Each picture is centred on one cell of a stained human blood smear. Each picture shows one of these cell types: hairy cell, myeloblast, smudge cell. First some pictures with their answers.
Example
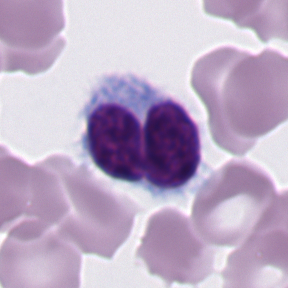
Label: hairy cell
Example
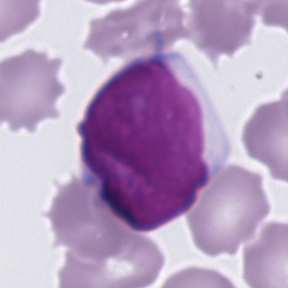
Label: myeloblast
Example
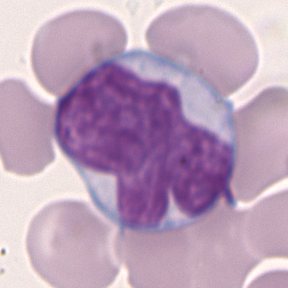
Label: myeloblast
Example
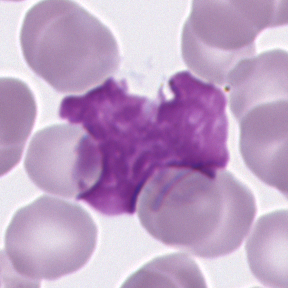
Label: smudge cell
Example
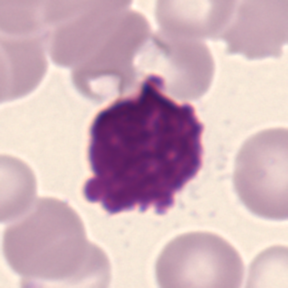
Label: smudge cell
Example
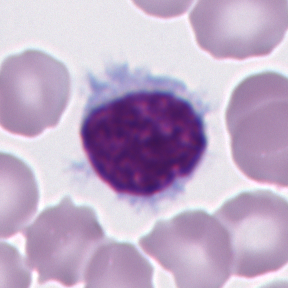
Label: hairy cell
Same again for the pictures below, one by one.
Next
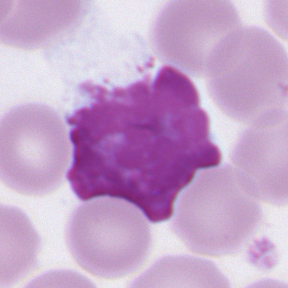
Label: smudge cell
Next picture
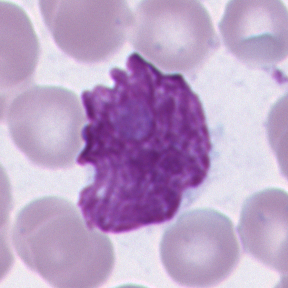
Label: smudge cell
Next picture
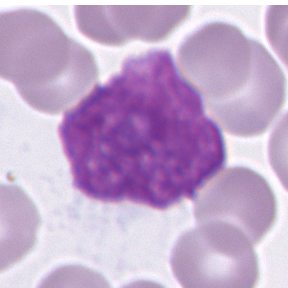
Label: smudge cell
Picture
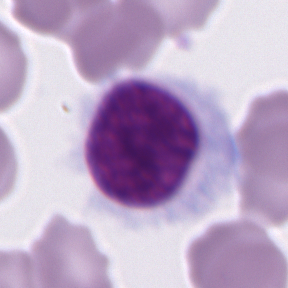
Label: hairy cell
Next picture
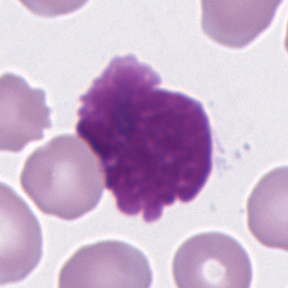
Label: smudge cell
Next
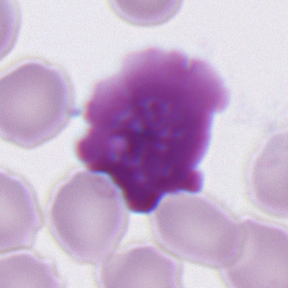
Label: smudge cell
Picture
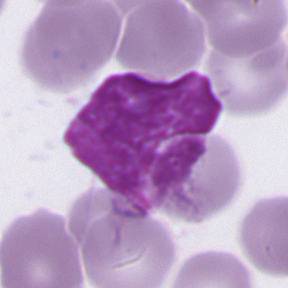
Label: smudge cell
